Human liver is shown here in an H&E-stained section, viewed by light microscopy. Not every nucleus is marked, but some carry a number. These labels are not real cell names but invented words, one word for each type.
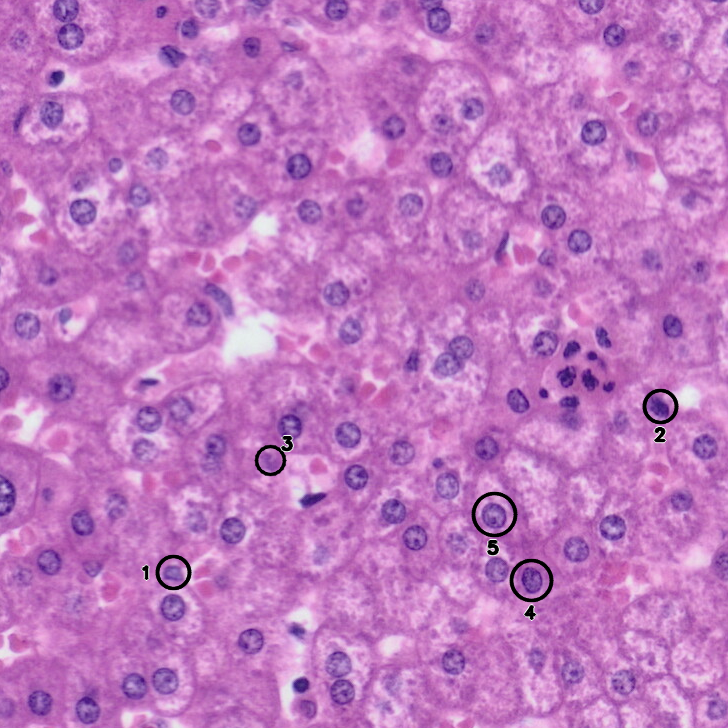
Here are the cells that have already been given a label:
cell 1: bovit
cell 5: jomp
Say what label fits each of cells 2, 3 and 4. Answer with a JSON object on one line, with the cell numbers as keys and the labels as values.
{"2": "bovit", "3": "jomp", "4": "jomp"}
